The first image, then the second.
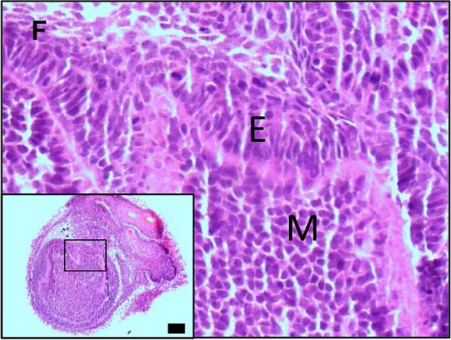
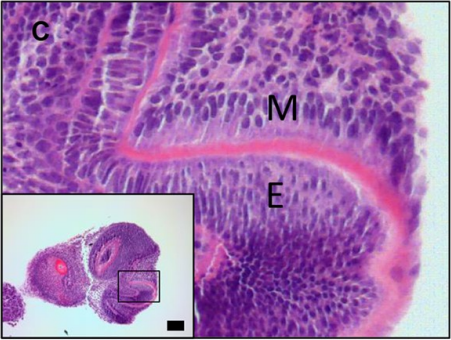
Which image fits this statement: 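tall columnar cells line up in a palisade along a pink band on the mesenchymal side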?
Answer: the second image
